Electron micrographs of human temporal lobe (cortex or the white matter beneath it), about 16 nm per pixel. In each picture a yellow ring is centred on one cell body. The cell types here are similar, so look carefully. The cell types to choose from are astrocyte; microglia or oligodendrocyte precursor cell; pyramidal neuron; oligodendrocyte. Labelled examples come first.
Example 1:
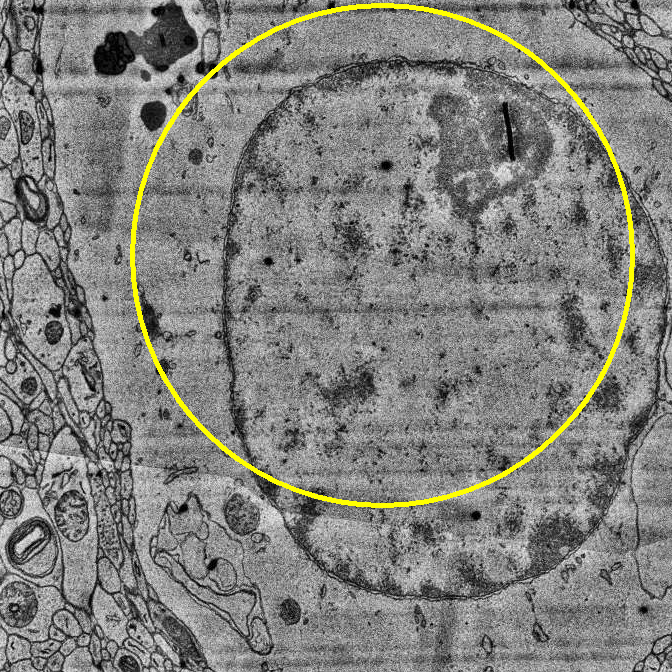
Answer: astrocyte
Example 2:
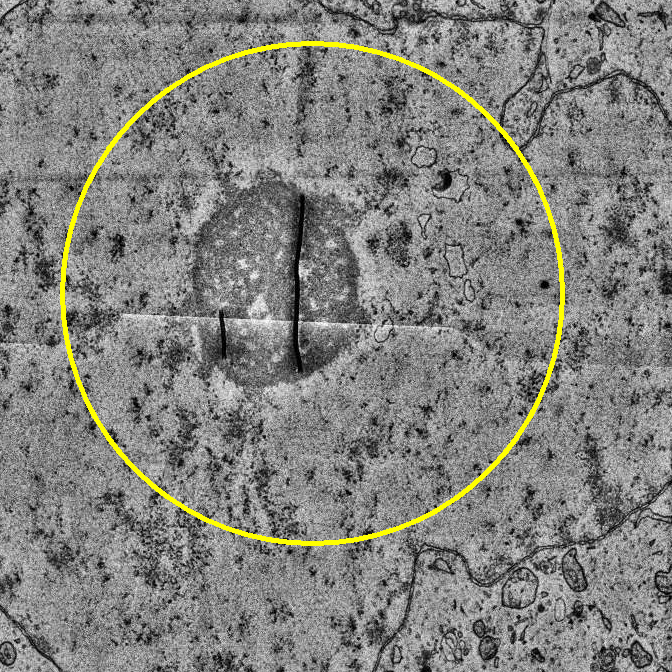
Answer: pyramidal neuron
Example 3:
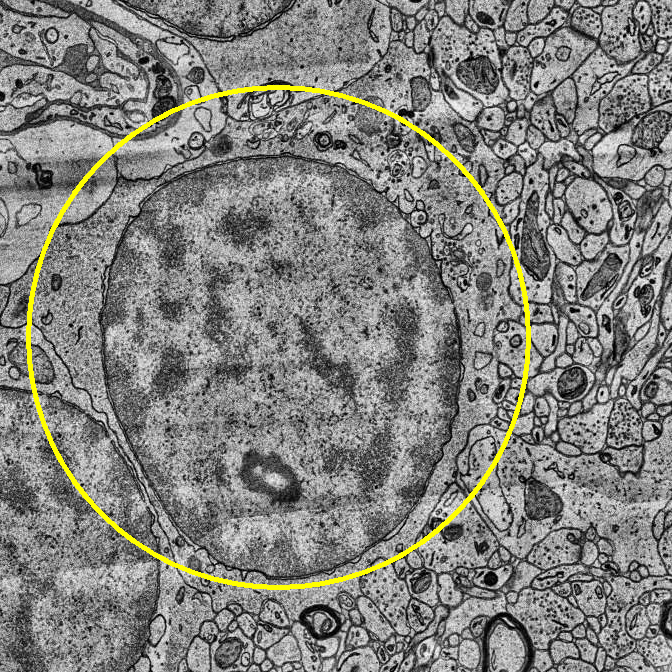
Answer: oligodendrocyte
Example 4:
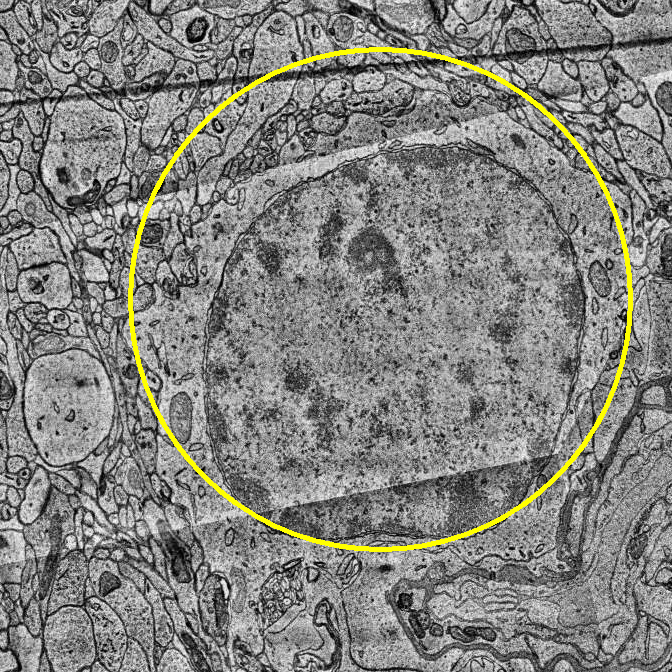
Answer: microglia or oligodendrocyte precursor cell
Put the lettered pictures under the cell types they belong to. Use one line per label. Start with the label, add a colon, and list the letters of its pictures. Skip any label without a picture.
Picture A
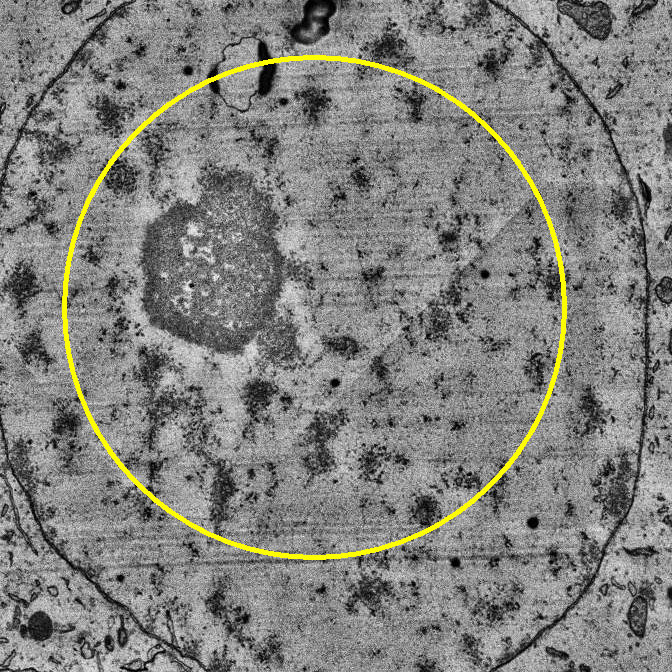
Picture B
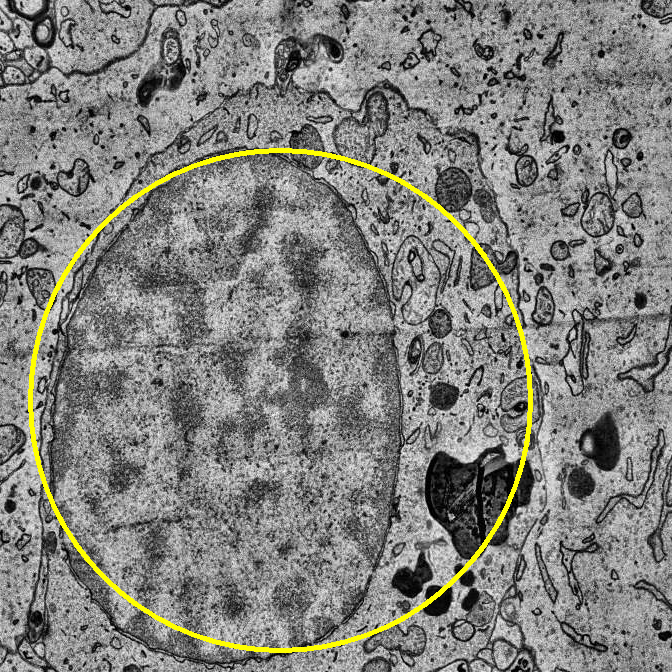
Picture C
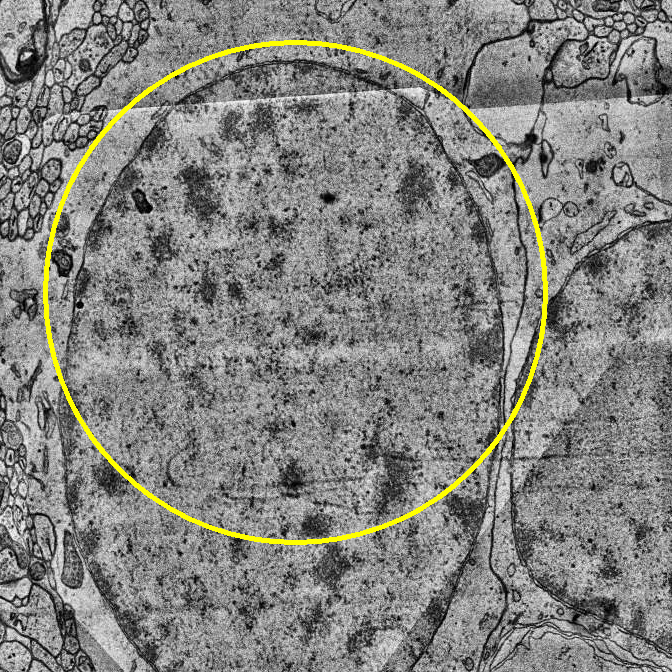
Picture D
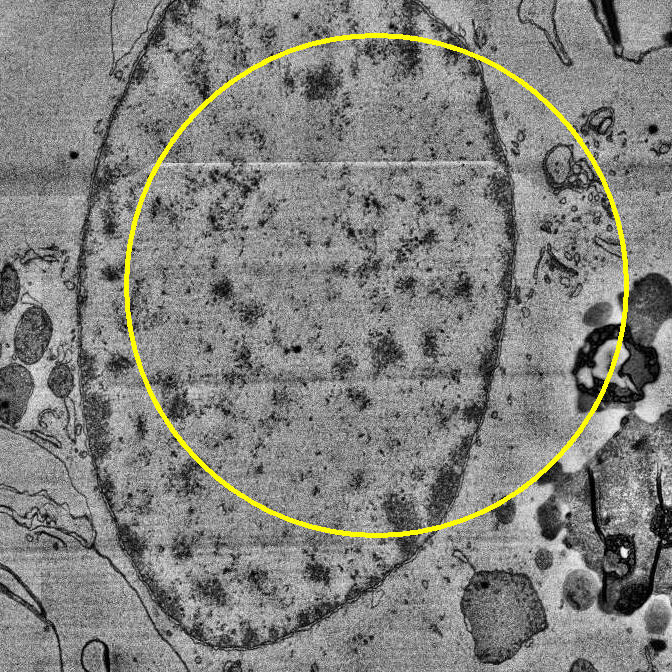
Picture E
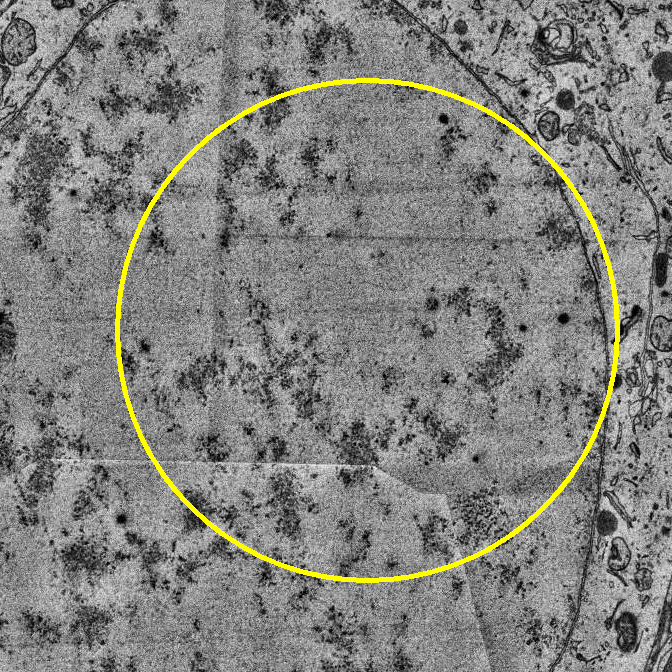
astrocyte: C, D
pyramidal neuron: A, E
oligodendrocyte: B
